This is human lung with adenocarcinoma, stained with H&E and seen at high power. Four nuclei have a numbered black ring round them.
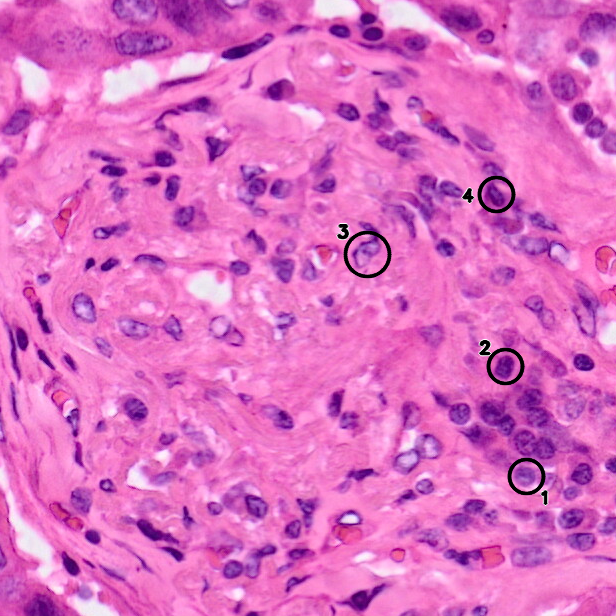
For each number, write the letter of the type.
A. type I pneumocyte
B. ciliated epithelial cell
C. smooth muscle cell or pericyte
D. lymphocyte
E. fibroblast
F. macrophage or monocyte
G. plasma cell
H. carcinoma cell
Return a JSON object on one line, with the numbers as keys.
{"1": "D", "2": "G", "3": "E", "4": "G"}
